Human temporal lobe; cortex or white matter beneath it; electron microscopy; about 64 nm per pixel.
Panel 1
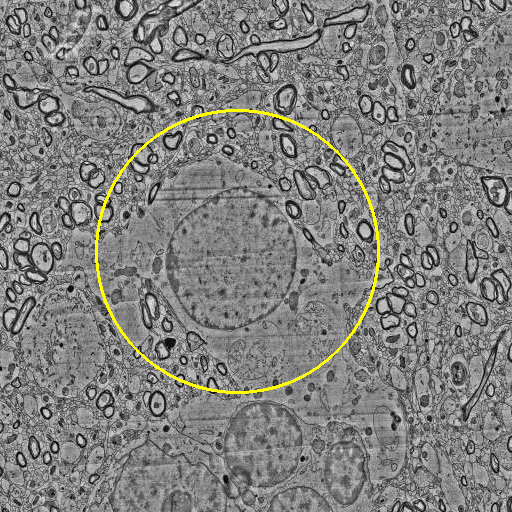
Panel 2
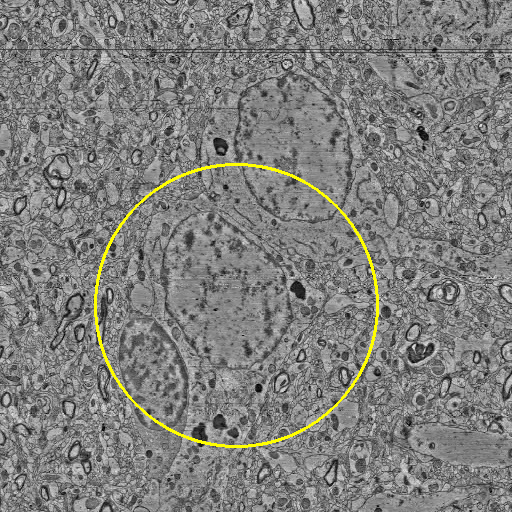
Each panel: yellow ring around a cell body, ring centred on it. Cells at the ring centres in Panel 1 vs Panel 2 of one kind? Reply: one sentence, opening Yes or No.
No, Panel 1 and Panel 2 have cells of two kinds at the ring centres.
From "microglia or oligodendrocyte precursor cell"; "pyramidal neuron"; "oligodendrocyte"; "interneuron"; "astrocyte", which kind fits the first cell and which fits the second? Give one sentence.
The cell marked in the first picture is an astrocyte, and the one marked in the second is an interneuron.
